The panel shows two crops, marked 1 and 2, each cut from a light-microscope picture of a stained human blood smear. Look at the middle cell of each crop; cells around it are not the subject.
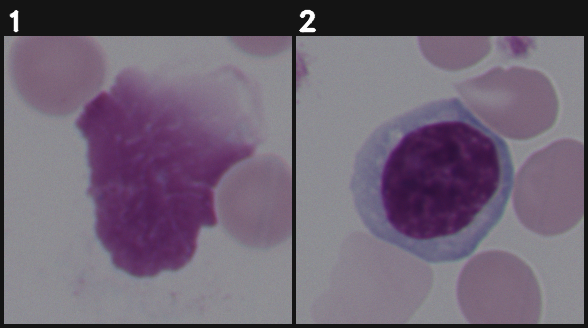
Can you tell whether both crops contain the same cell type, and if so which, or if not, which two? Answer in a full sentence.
No, look again: crop 1 shows a smudge cell, and crop 2 shows a typical lymphocyte.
